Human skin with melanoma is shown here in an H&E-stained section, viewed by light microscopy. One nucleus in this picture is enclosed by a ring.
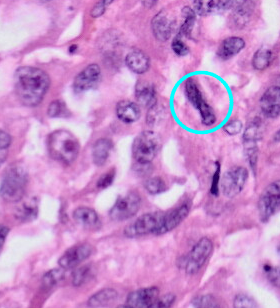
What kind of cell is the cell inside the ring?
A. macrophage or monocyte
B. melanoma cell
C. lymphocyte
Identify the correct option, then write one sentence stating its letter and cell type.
Option B, identifying the cell inside the ring as a melanoma cell, is correct.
